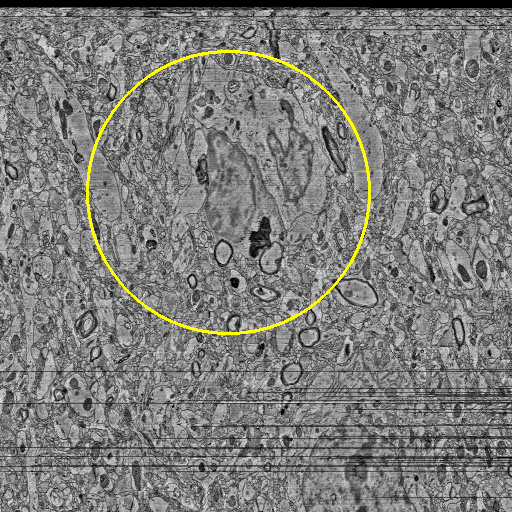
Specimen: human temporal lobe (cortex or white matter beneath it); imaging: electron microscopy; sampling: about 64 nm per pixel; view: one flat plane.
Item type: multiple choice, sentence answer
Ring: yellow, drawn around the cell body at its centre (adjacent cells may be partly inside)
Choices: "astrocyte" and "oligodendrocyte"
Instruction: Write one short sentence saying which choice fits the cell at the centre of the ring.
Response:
This ring is drawn around an oligodendrocyte.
